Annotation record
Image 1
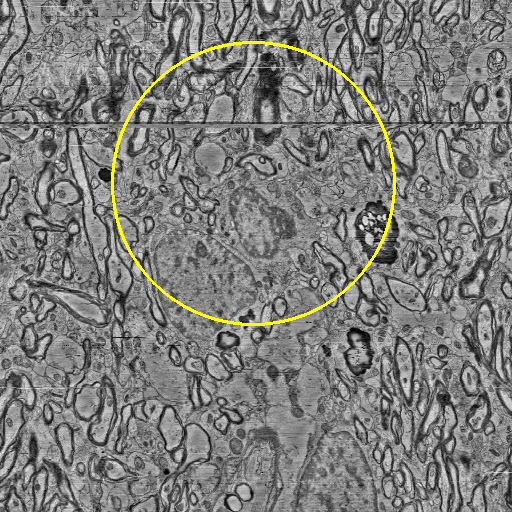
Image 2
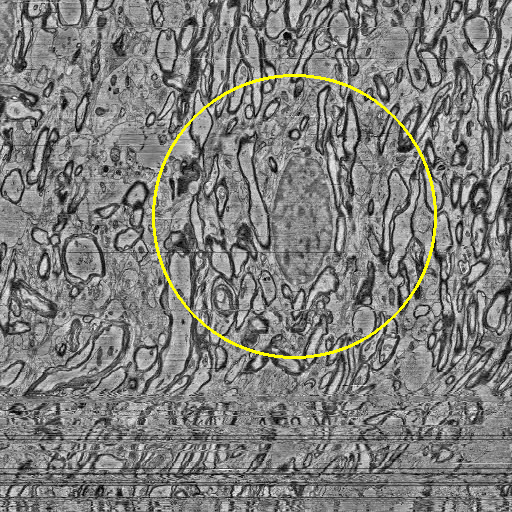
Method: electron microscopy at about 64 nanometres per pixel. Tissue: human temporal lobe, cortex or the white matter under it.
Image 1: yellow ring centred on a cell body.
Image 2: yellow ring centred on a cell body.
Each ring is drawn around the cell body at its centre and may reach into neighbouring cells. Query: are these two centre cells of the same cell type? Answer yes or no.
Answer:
yes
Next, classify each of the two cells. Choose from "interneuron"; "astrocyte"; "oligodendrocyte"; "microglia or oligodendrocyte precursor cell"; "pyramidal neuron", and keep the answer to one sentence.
Each of the two rings is centred on an oligodendrocyte.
